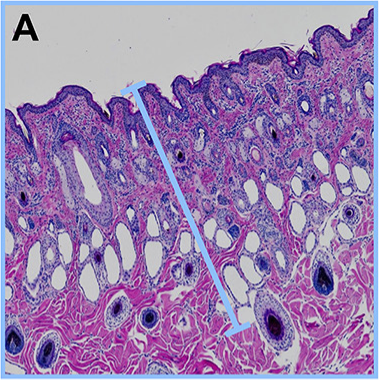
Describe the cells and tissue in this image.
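This is a section of skin, with a thin, dark purple, folded epidermis along the top and the dermis below it. The upper dermis is crowded with hair follicles, seen as round or oval purple profiles, several with a dark central hair shaft. Among them lie many rounded, clear, empty-looking spaces bounded by a thin rim of flattened epithelium, which are the sweat glands. Deeper down, the dermis becomes dense, made of thick pink bundles of collagen, in which larger hair follicle bulbs sit. A colored line runs from the skin surface down to the deepest gland profile.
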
